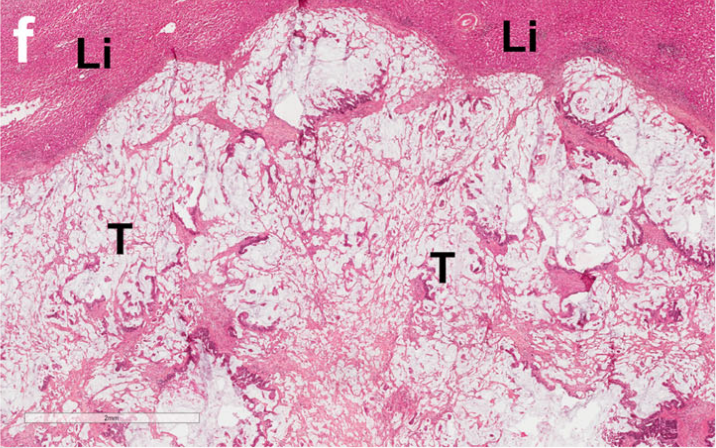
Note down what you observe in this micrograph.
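Low-power section of liver with a tumour made largely of pools of extracellular mucin. The mucin appears as pale, wispy, faintly pink material filling broad lakes that are divided into lobules by thin pink fibrous septa. Narrow darker purple strips of cells run along the edges of some septa within the pale lakes. A band of dense, evenly pink liver parenchyma lies along the top of the field. The tumour meets the parenchyma along a lobulated, pushing border rather than infiltrating it.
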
